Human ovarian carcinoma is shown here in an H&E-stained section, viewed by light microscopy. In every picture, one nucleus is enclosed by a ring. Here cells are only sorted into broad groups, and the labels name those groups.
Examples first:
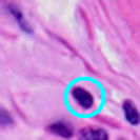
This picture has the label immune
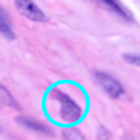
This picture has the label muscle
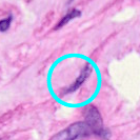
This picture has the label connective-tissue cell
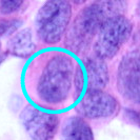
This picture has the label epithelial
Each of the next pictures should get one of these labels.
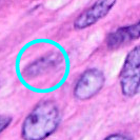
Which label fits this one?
connective-tissue cell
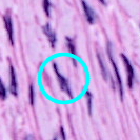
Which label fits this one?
connective-tissue cell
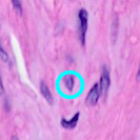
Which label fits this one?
muscle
